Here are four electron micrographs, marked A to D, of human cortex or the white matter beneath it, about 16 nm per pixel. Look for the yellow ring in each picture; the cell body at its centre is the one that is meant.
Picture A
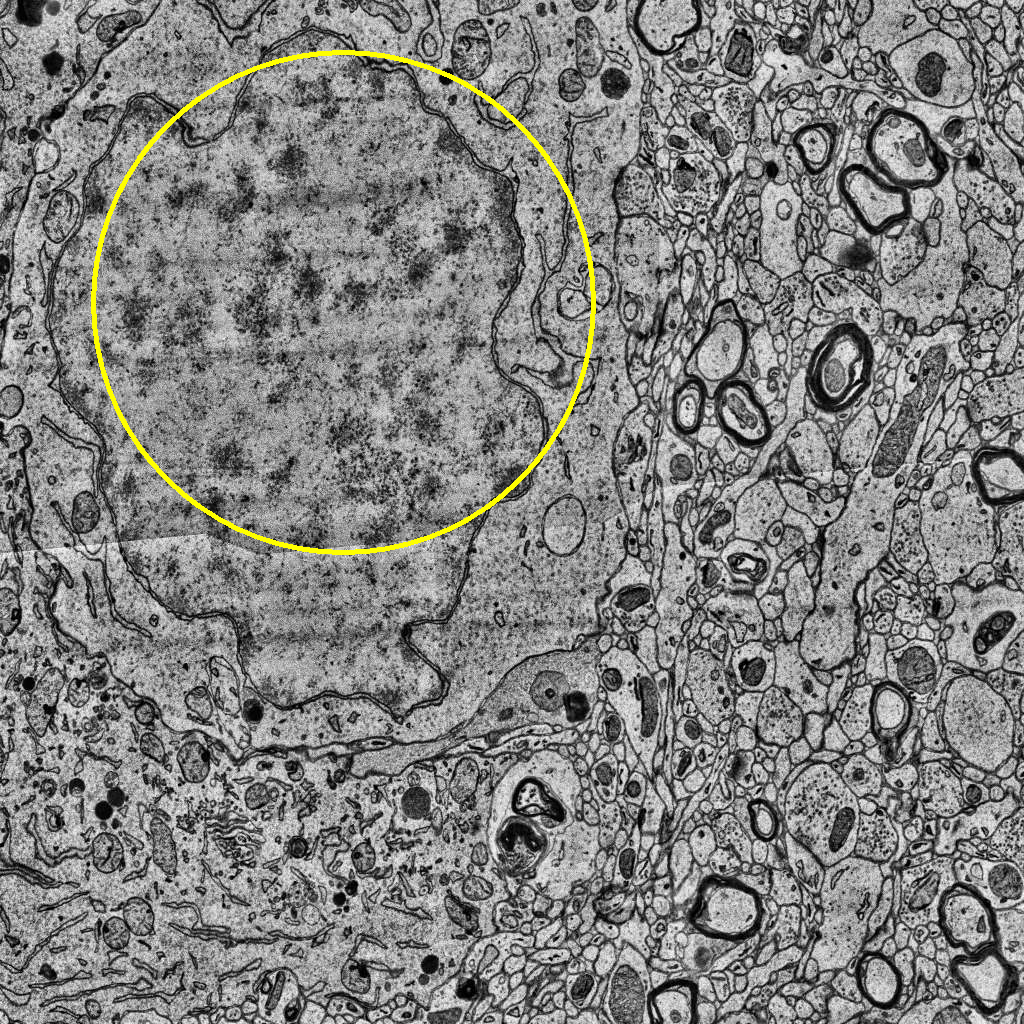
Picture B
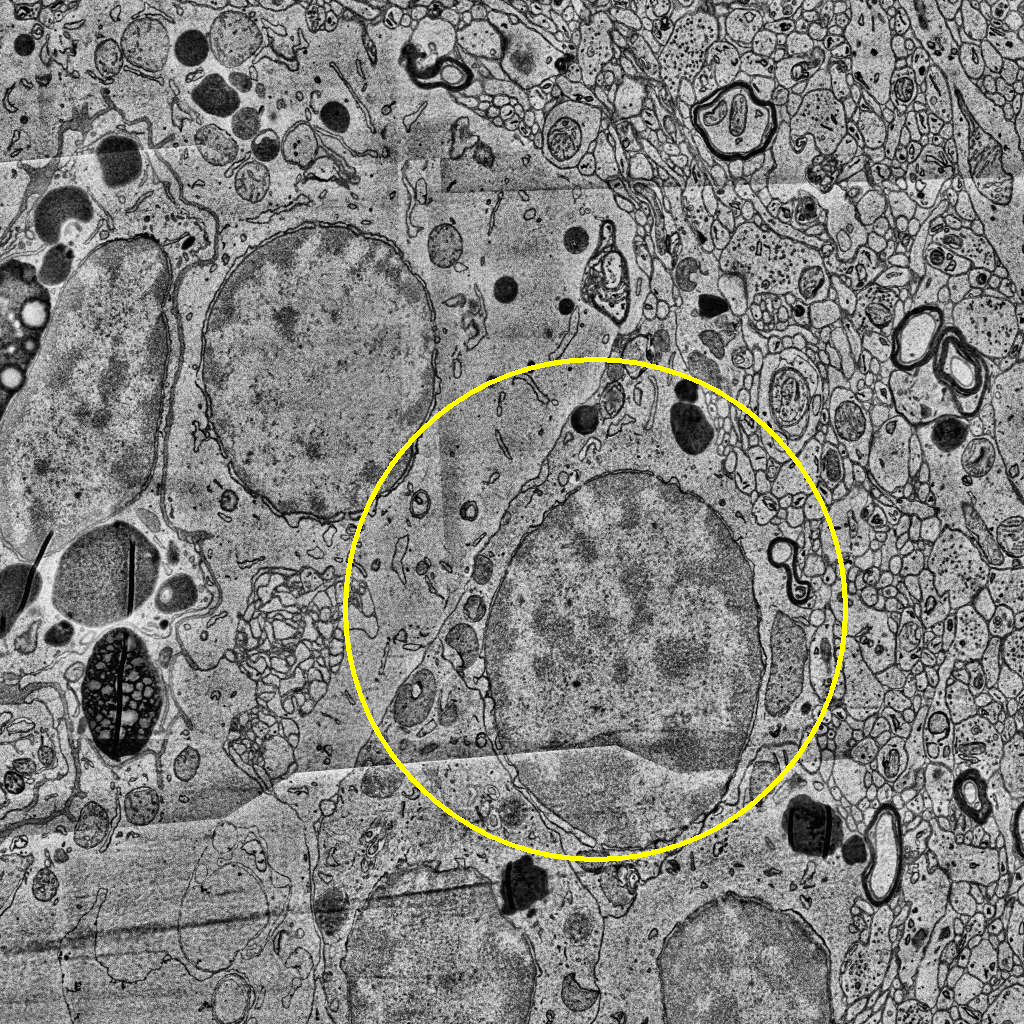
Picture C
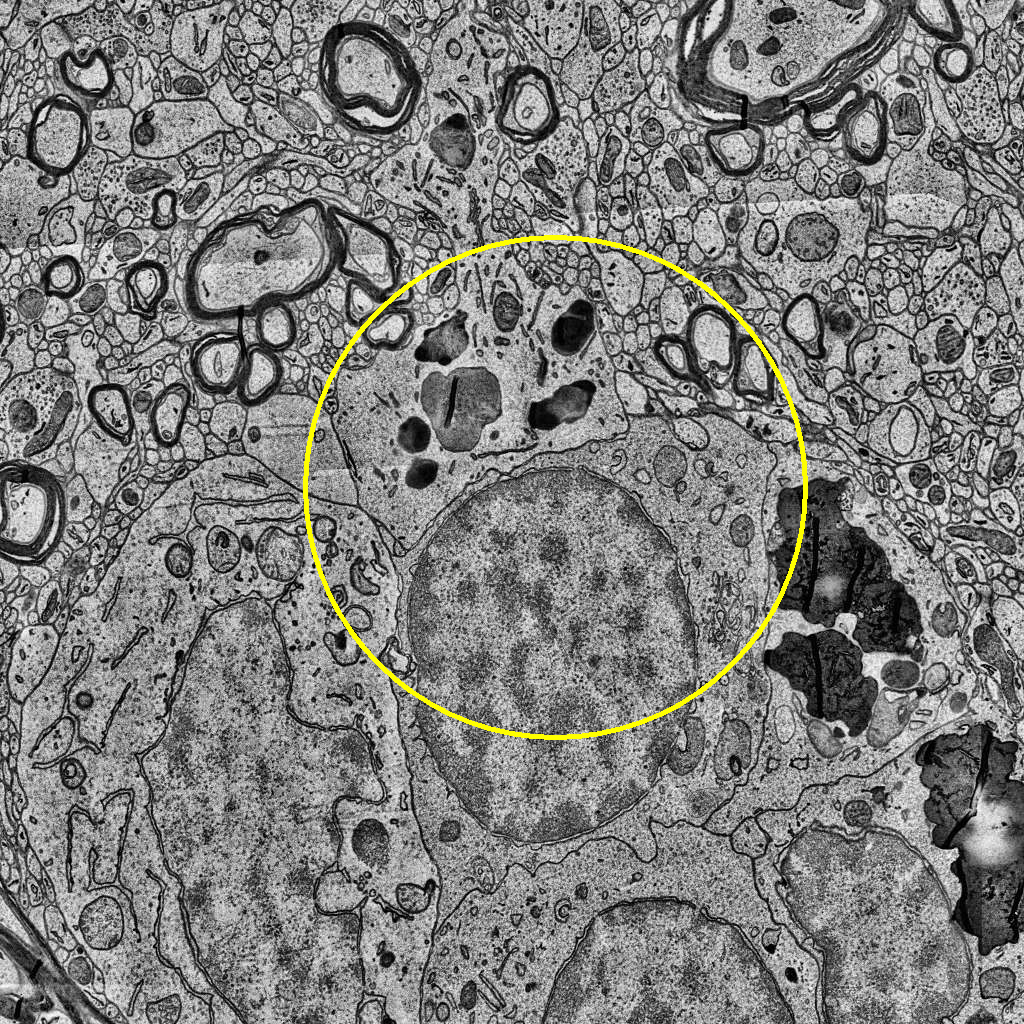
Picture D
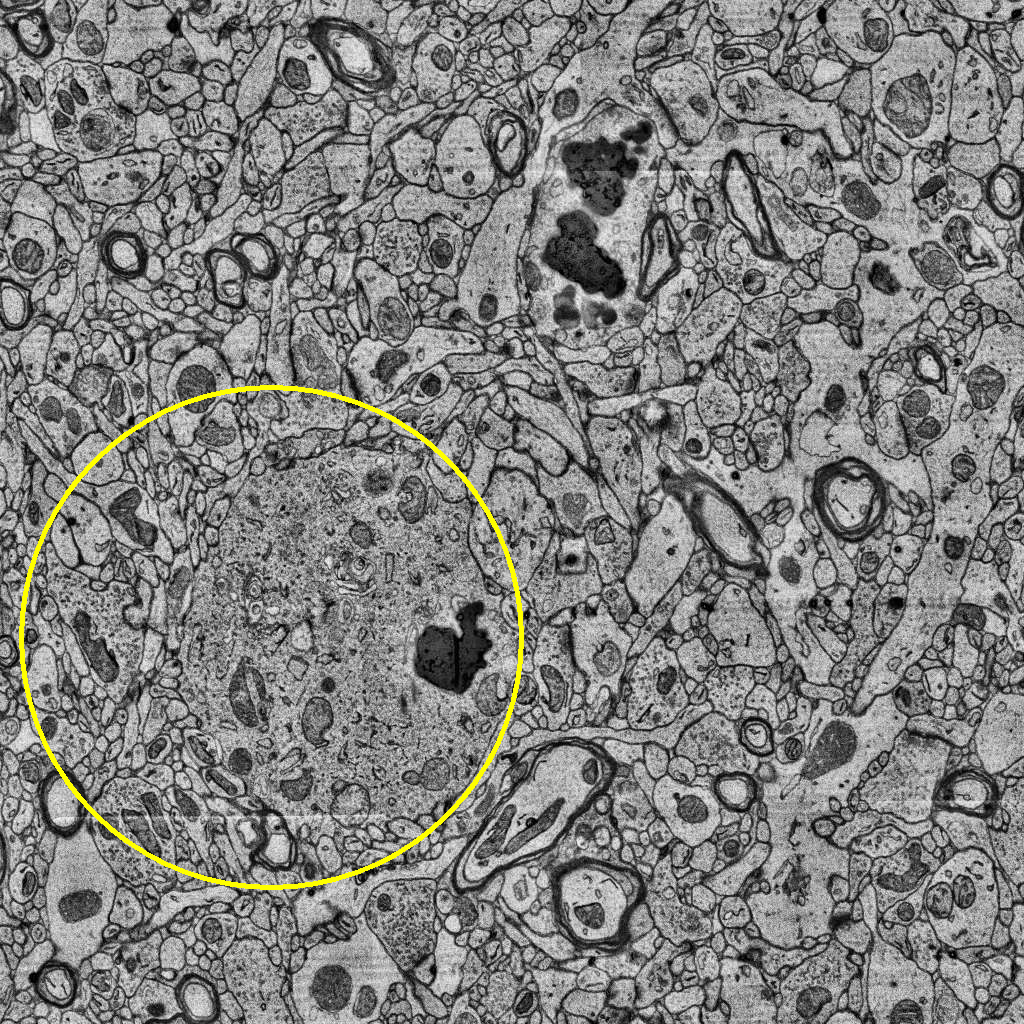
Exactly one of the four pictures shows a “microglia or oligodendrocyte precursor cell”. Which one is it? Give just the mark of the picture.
C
